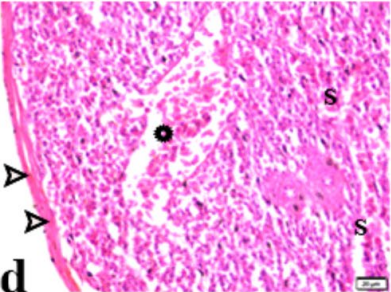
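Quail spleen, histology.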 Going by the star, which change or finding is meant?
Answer: Dilatation and congestion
